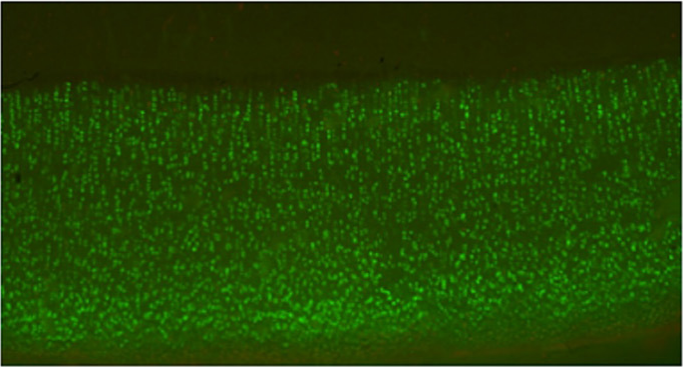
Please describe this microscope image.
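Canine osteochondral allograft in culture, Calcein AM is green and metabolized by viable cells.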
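Articular cartilage with chondrocytes shows as small, round, bright green cells spread through a band of faintly green matrix. The cells are nearly uniform in size and lie singly, separated by matrix. Toward the upper part the cells are sparser, and toward the lower part they are more crowded. Green cells fill the band across its whole width without large empty gaps.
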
